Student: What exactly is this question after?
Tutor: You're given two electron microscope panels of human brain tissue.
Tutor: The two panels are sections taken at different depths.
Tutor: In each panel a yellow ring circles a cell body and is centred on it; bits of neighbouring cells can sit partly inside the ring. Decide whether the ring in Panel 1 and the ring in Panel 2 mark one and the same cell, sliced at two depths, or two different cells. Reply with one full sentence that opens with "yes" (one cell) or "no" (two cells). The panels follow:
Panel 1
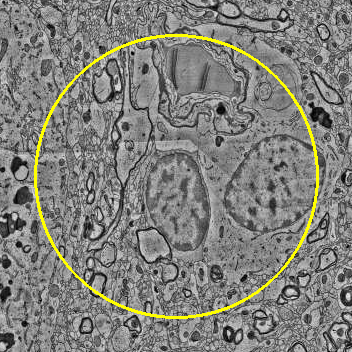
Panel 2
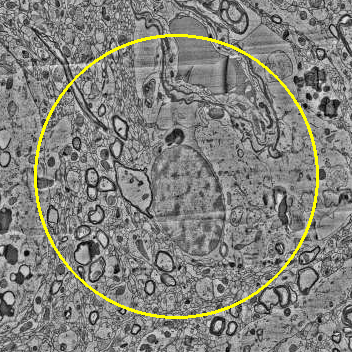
Yes, the same cell has been marked in both yellow rings.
